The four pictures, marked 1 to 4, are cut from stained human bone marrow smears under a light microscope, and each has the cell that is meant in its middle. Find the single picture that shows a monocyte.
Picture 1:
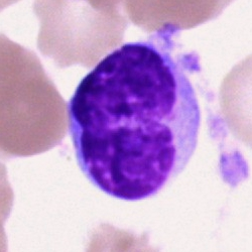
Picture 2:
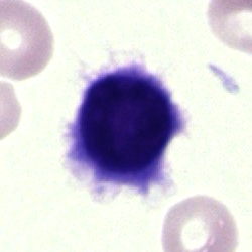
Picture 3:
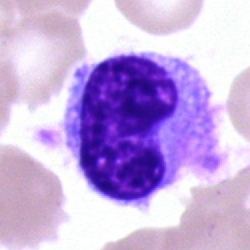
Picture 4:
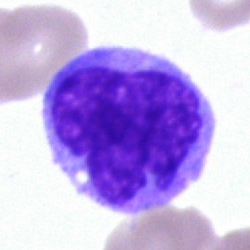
4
